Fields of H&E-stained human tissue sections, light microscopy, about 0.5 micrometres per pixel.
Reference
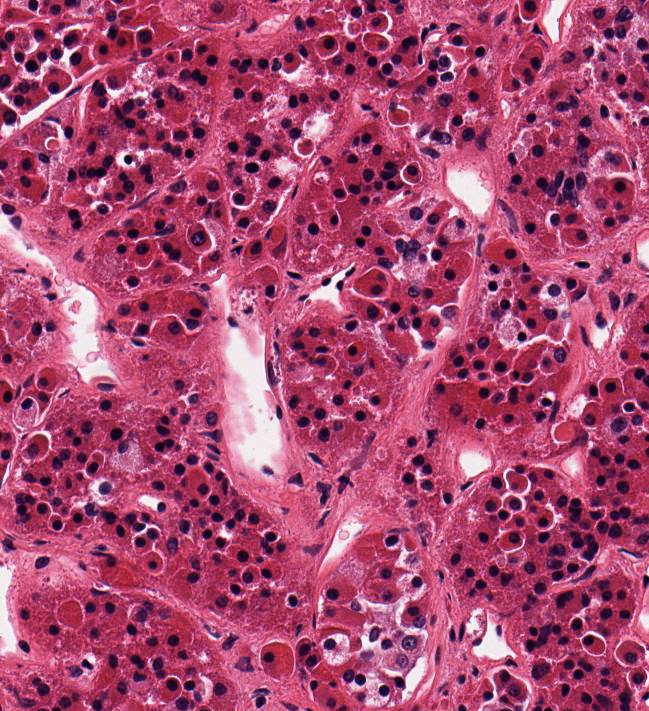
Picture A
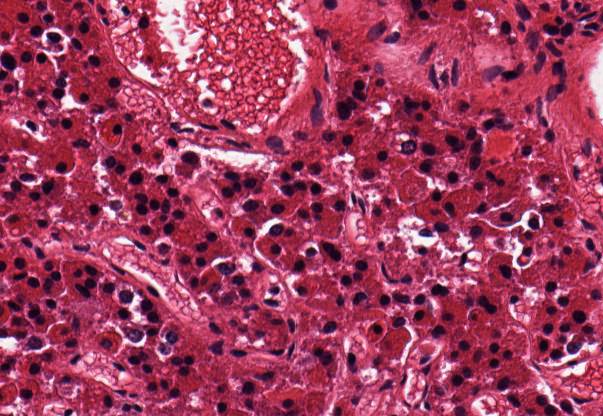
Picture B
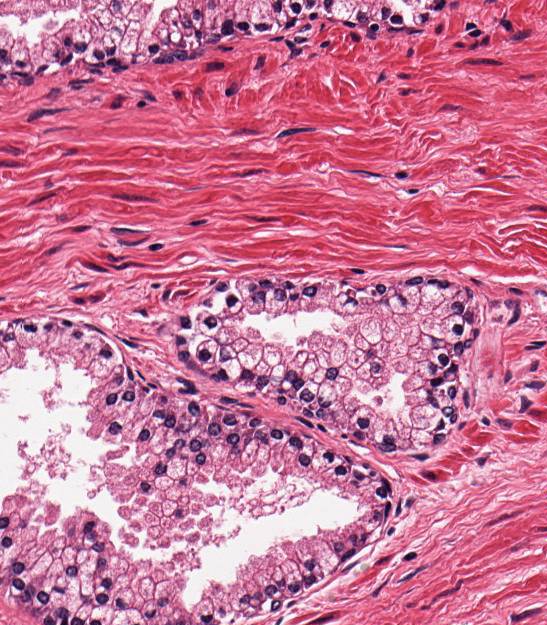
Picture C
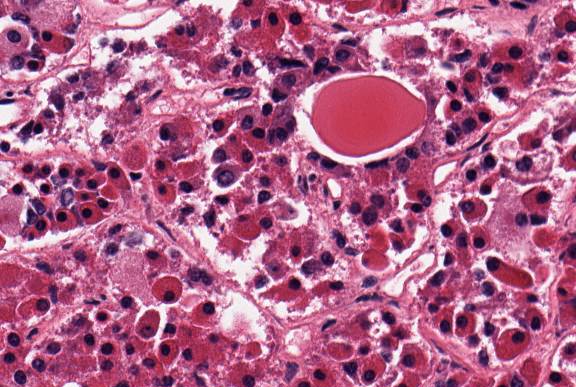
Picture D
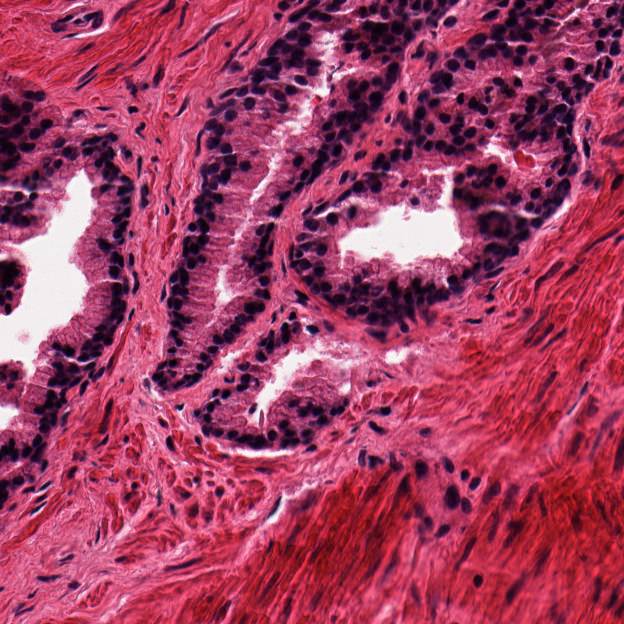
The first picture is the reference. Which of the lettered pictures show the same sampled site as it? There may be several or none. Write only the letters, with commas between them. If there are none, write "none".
A, C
